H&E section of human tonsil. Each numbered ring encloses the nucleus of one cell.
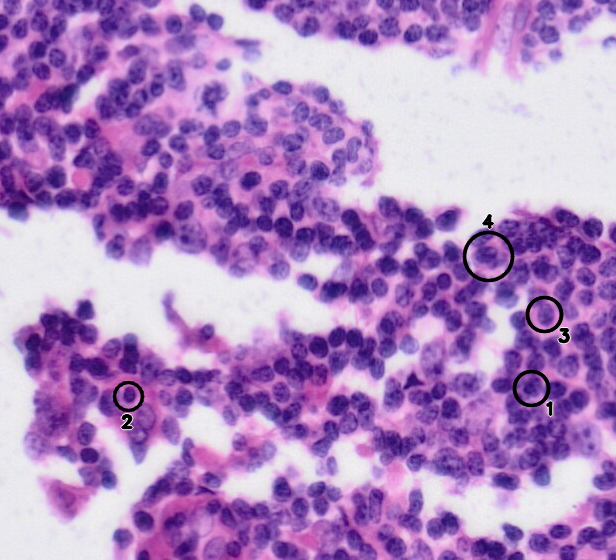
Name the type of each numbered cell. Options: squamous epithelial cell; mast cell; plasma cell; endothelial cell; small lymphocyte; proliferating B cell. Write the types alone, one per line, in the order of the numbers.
small lymphocyte
endothelial cell
small lymphocyte
small lymphocyte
